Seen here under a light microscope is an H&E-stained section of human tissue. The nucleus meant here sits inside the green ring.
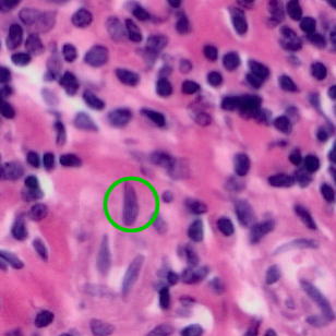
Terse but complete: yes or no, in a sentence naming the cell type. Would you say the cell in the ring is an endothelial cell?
Yes, classifying the cell in the ring as an endothelial cell is accurate.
